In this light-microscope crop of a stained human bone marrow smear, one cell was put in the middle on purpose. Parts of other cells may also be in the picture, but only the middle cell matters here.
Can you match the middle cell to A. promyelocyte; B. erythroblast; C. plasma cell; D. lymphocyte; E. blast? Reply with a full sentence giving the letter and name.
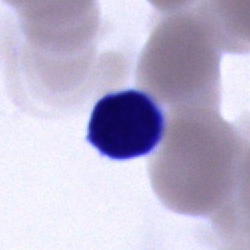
The one cell at the centre is a lymphocyte, as correctly stated in option D.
